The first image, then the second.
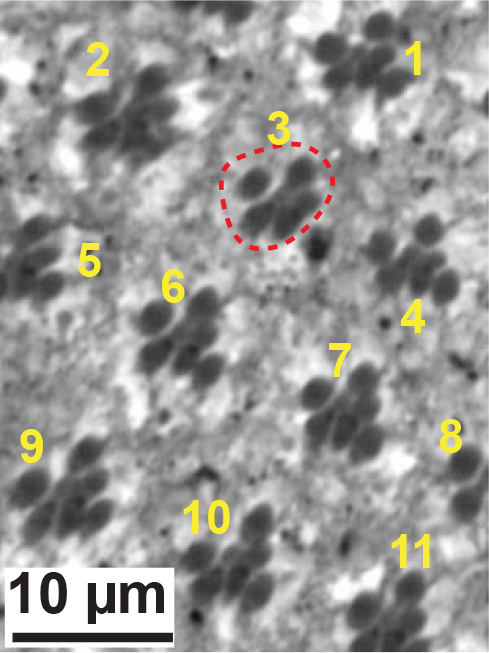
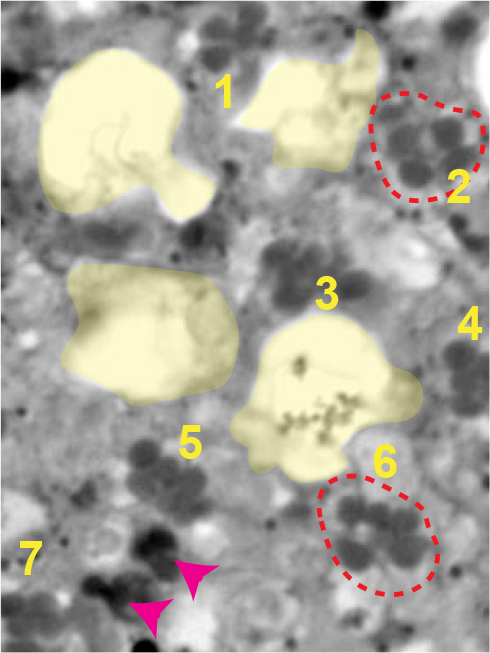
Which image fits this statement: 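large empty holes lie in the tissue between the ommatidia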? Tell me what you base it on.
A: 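Second image: several large pale empty spaces break up the tissue, with only a few clusters left. First image: the tissue is filled with closely spaced clusters and no large holes.
The second image.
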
